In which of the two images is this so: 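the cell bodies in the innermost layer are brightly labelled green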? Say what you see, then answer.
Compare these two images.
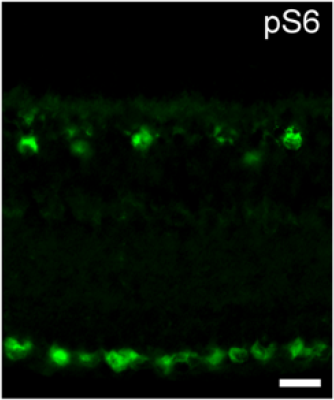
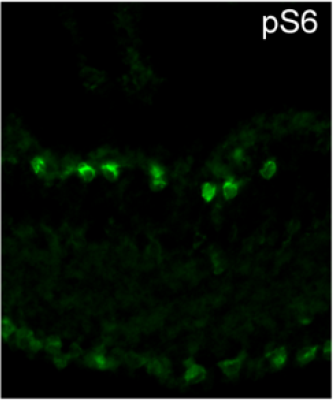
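Second image: the innermost row shows only faint, patchy green cell bodies. First image: the innermost row shows a continuous line of bright green cell bodies.
The first image.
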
